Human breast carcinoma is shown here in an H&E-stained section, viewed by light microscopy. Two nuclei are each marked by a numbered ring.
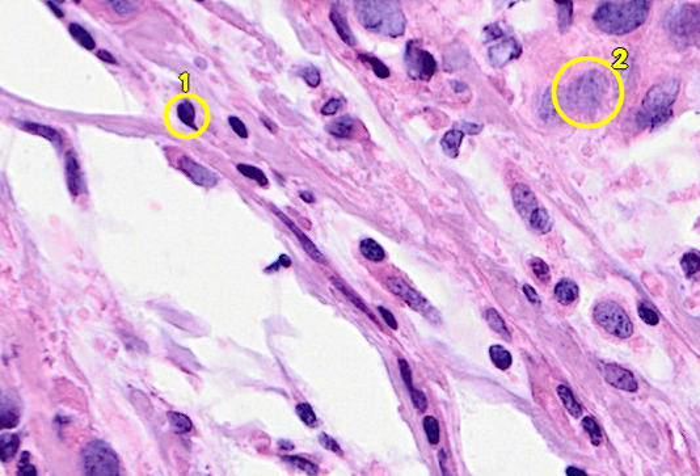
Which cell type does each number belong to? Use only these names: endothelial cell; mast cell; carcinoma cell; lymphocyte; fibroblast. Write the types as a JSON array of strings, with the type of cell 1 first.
["lymphocyte", "carcinoma cell"]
